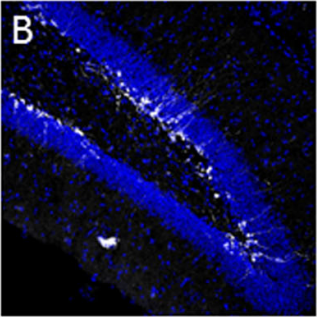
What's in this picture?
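This is the dentate gyrus of the hippocampus, with the granule cell layer forming two broad bands of tightly packed blue nuclei. Thin white processes rise from these cells into and across the granule cell layer. Outside the layer the blue nuclei are sparse and loosely scattered.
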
